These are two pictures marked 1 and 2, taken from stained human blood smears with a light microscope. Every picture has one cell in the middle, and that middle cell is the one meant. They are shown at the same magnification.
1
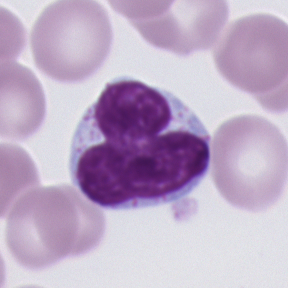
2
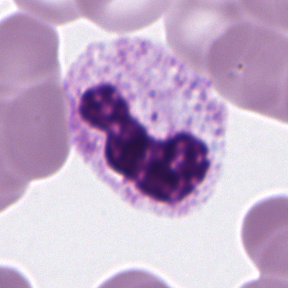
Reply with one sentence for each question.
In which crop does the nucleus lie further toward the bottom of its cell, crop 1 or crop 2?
Seen within its cell, the nucleus in crop 2 lies further toward the bottom.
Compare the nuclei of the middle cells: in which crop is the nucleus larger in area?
The nucleus in crop 1 is larger, with about 1.5 times the area of the one in crop 2.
